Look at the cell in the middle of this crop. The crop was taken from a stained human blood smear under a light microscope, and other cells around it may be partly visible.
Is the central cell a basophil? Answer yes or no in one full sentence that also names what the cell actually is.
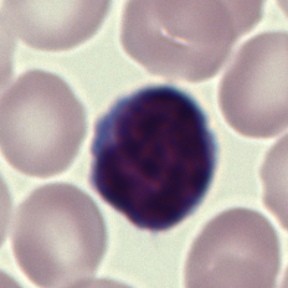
No, it is a typical lymphocyte that sits in the middle, not a basophil.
